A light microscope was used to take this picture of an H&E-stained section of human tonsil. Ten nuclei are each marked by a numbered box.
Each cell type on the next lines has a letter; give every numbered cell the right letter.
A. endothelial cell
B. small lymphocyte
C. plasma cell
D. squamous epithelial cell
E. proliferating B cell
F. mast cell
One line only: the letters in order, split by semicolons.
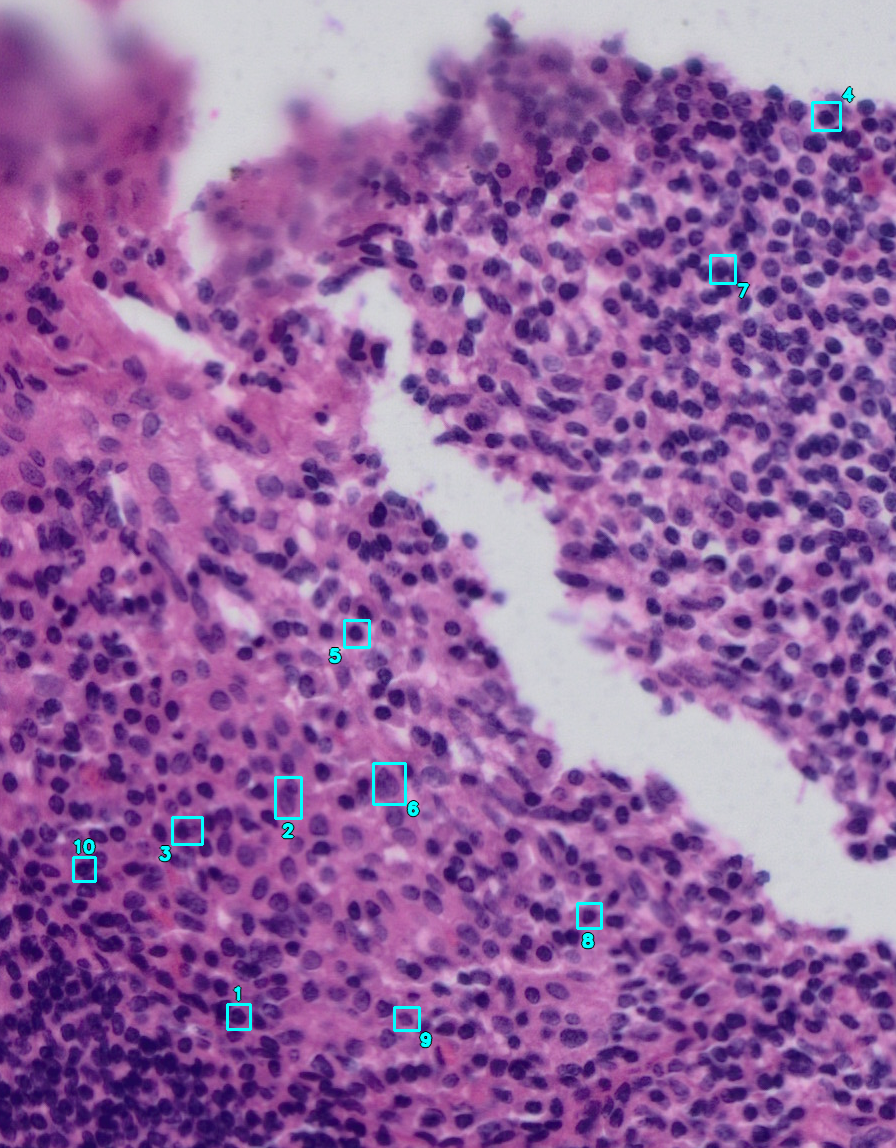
C; D; C; B; C; D; B; C; C; C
